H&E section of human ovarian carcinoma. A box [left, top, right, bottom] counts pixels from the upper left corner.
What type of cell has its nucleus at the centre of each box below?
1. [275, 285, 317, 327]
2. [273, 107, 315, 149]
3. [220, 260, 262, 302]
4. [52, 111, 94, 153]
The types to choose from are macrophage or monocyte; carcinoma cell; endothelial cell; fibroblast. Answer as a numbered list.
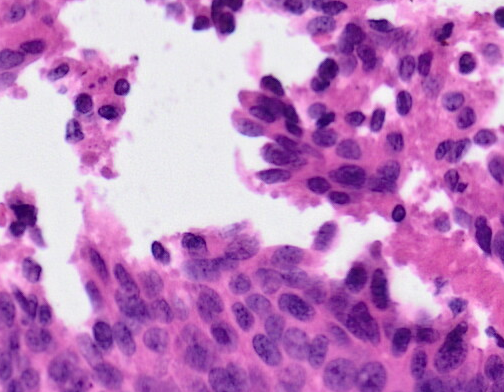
1. carcinoma cell
2. carcinoma cell
3. carcinoma cell
4. macrophage or monocyte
